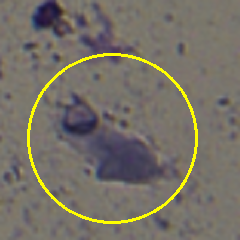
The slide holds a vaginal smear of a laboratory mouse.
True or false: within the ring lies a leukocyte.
False: a cornified epithelial cell lies within the ring.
